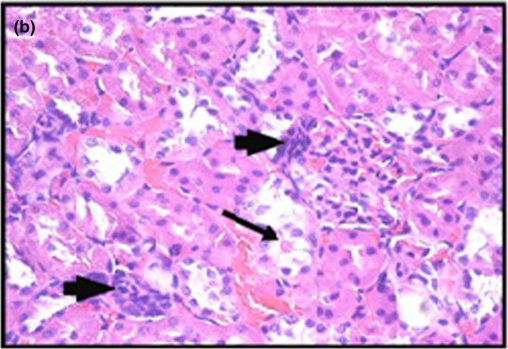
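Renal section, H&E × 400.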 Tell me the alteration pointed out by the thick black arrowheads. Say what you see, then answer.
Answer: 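The thick arrowheads point to clusters of small, dark, round nuclei. These clusters lie in the spaces between tubules rather than inside tubule walls. So: interstitial inflammation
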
